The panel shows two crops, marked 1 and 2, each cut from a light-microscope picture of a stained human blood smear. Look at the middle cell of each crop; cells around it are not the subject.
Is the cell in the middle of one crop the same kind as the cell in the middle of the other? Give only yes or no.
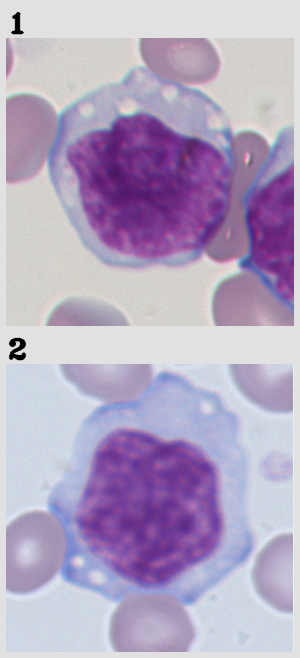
yes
